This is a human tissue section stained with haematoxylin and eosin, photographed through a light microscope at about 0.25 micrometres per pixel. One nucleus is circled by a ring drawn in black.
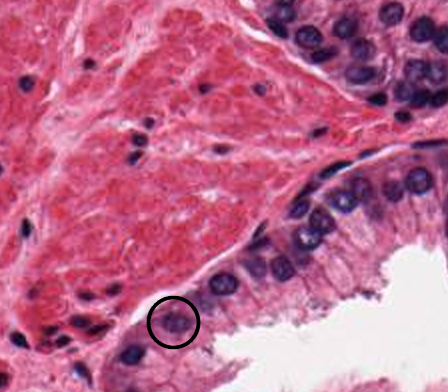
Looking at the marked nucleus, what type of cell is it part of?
prostate gland luminal cell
